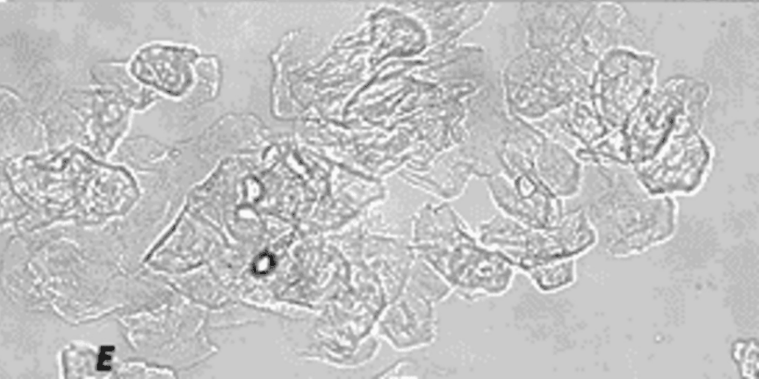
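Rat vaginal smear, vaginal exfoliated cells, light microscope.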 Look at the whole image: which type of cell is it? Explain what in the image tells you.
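Keratin epithelial cells. Large flat cells with irregular, angular outlines. The cells lie overlapping in sheets. The cells show folded, wrinkled surfaces.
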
